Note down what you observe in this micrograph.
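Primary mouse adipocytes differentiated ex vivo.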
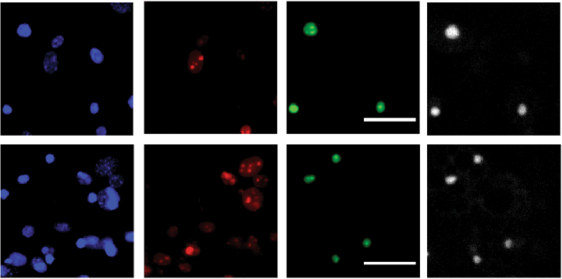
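Cultured cells shown in separate channels, with many round-to-oval blue-stained nuclei scattered across the field. Some nuclei are red, and fewer are small, compact and green. The white nuclear signal lies at the same places as the green nuclei in both rows.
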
